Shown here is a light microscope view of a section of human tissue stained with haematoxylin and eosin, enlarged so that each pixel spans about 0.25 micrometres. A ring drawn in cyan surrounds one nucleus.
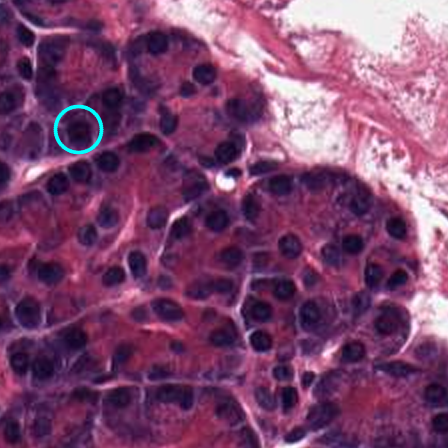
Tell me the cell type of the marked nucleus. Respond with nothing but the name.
pancreatic acinar cell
